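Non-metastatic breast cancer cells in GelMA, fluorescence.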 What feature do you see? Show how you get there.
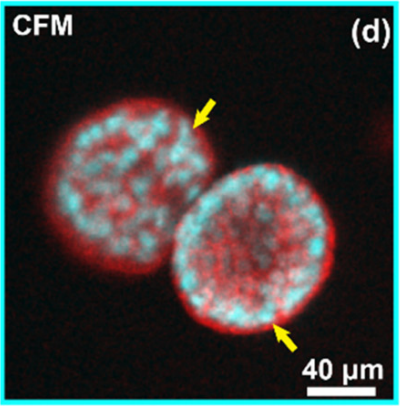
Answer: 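Two round, compact clusters of many cells lie side by side. Each cluster is bounded by a continuous red rim. Many cyan nuclei fill each cluster.
Answer: cell spheroids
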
